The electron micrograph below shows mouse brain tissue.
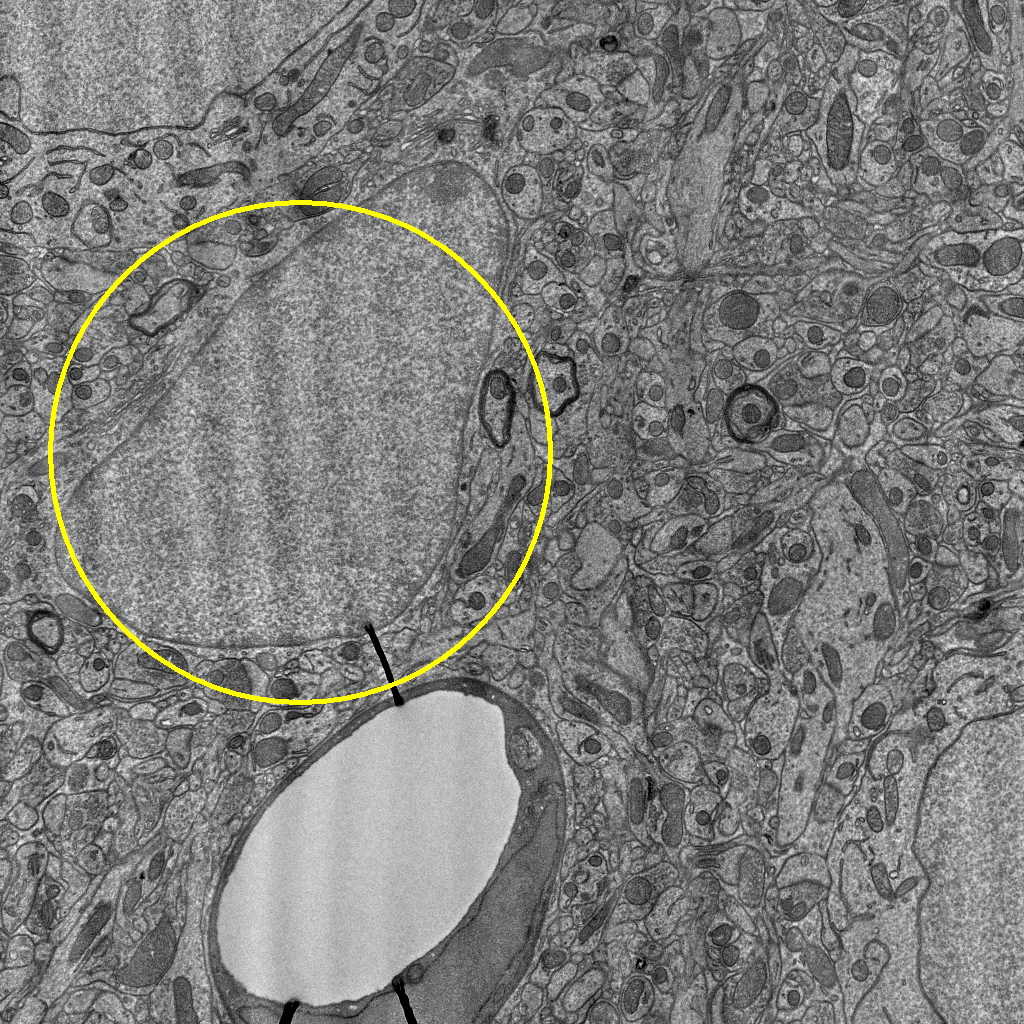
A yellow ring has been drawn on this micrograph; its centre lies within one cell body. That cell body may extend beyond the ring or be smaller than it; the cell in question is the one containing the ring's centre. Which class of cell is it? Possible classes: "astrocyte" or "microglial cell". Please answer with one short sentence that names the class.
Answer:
In the centre of the ring sits an astrocyte.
